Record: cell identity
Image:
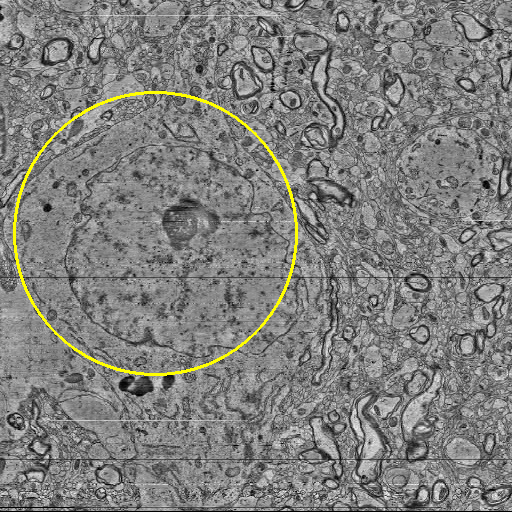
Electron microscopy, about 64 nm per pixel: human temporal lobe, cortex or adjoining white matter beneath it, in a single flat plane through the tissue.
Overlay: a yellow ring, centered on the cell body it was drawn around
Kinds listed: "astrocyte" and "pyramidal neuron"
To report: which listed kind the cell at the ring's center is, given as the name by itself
pyramidal neuron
